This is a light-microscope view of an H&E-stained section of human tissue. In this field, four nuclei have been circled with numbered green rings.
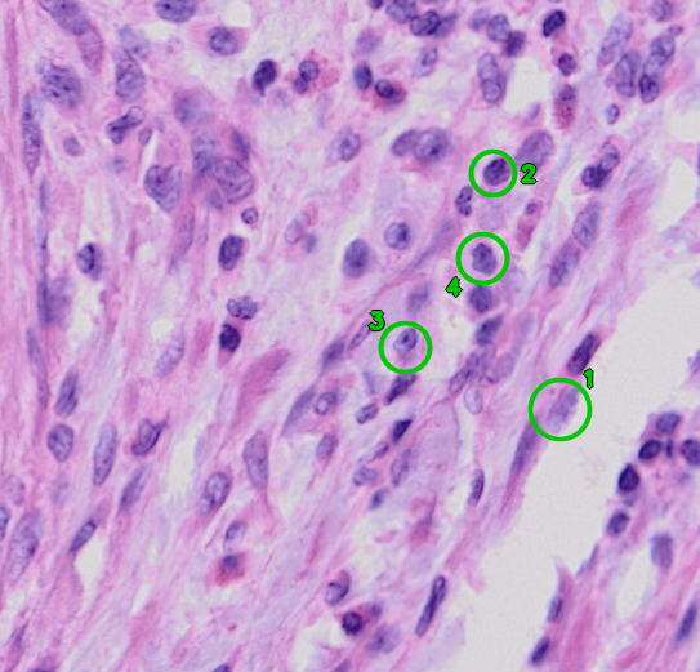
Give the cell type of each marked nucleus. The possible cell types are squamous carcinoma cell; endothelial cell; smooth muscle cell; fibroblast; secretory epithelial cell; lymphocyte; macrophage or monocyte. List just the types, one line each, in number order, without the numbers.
endothelial cell
lymphocyte
macrophage or monocyte
lymphocyte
